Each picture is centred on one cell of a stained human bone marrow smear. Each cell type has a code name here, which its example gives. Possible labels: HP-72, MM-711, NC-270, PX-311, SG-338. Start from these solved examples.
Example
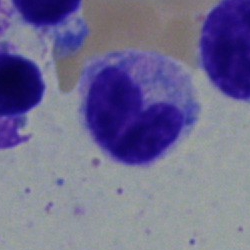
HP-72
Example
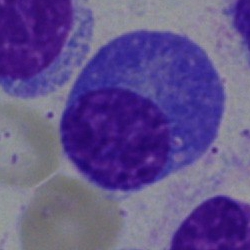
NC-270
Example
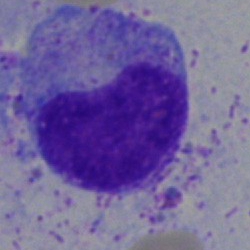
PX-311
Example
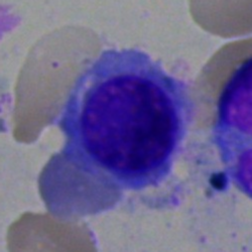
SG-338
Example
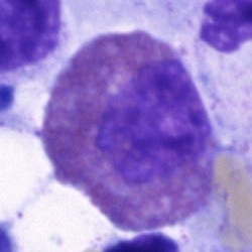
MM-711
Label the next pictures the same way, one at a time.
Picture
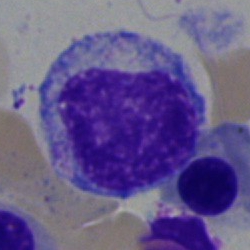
PX-311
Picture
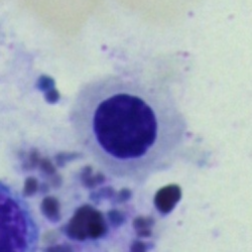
SG-338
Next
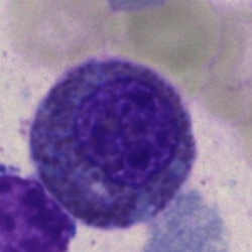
MM-711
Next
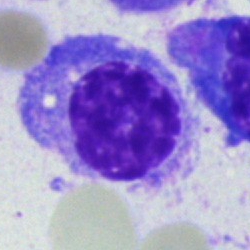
NC-270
